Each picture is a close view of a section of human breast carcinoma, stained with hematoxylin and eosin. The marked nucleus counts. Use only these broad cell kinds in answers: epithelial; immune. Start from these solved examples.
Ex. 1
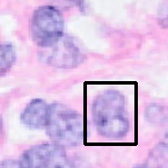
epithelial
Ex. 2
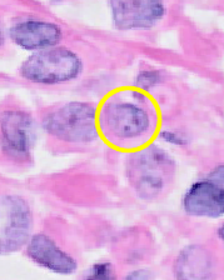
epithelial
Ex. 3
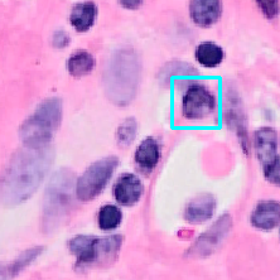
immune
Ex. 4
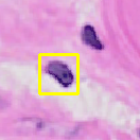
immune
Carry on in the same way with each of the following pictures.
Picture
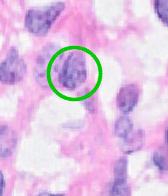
epithelial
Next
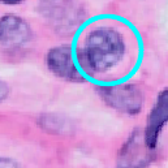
epithelial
